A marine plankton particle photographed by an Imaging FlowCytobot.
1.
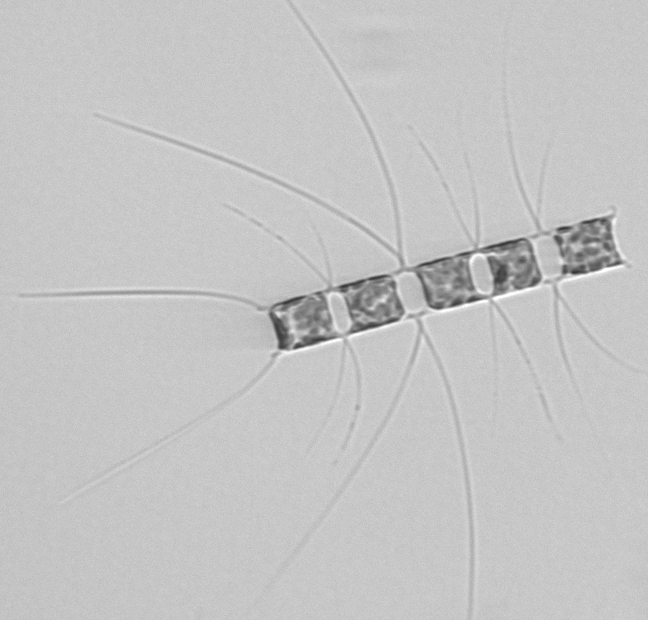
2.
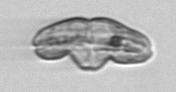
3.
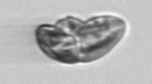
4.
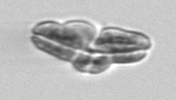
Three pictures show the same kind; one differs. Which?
Picture 1: Chaetoceros, while the others are Karenia papilionacea.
